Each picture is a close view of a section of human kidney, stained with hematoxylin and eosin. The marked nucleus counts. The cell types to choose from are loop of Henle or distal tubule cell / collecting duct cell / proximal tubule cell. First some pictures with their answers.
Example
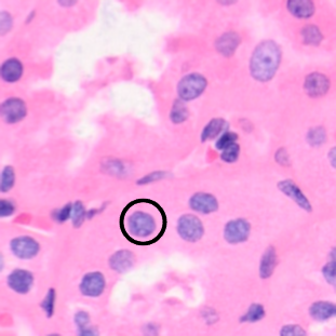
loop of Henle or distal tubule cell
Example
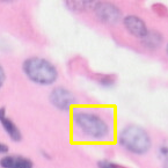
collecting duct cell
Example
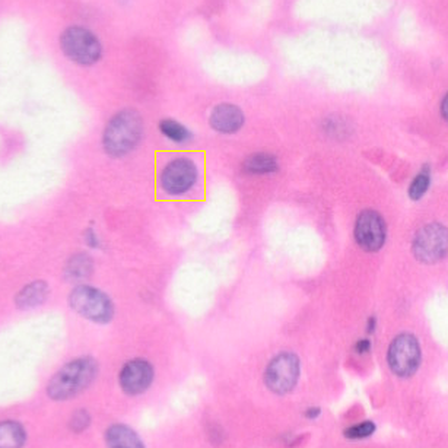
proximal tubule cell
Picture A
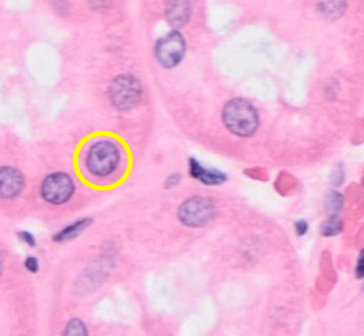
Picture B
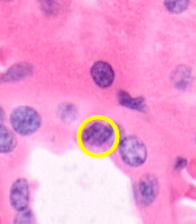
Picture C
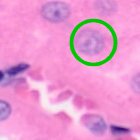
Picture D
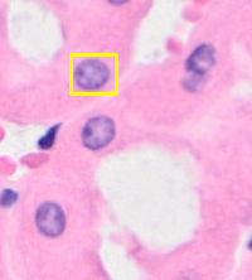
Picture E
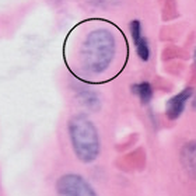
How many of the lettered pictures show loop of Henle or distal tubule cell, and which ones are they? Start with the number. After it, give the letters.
0, none of them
